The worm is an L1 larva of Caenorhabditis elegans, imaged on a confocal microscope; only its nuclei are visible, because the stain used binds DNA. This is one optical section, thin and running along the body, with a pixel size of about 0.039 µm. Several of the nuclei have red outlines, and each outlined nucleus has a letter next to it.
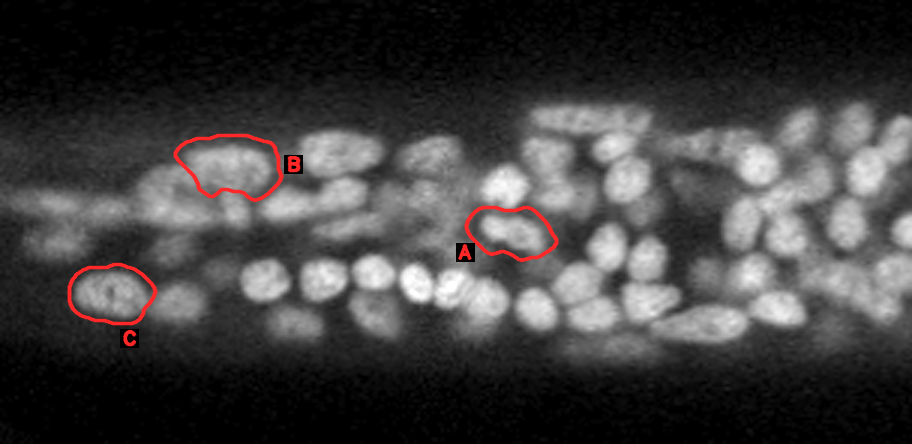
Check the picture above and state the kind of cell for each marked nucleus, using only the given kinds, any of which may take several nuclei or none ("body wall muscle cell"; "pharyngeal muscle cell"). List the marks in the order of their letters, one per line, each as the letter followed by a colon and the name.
A: pharyngeal muscle cell
B: body wall muscle cell
C: body wall muscle cell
